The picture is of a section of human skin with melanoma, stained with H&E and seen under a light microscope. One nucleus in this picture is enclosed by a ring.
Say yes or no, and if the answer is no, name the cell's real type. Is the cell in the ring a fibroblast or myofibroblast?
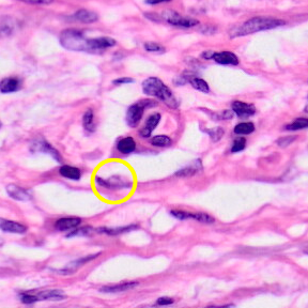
Yes.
